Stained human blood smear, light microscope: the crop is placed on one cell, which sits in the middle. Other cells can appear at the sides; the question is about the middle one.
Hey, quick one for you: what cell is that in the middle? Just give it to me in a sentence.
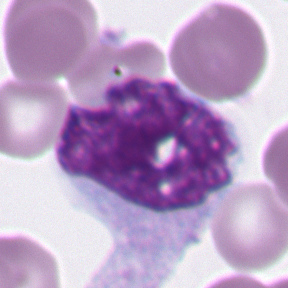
The cell found in the middle of this crop is a monocyte.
